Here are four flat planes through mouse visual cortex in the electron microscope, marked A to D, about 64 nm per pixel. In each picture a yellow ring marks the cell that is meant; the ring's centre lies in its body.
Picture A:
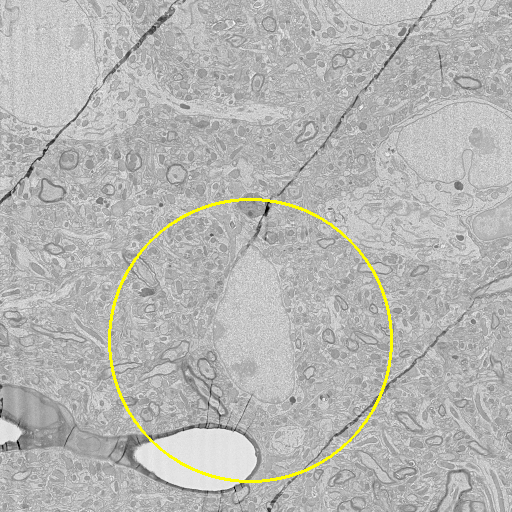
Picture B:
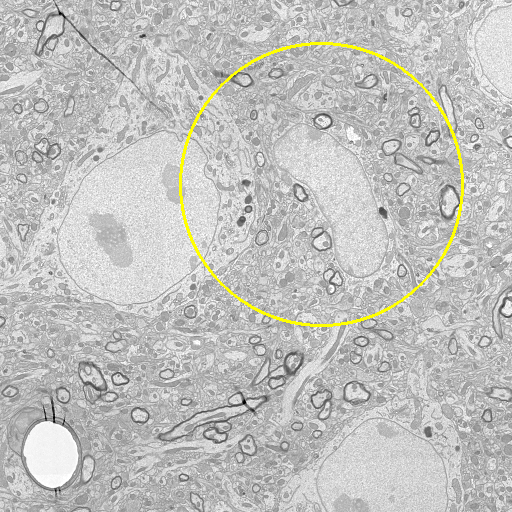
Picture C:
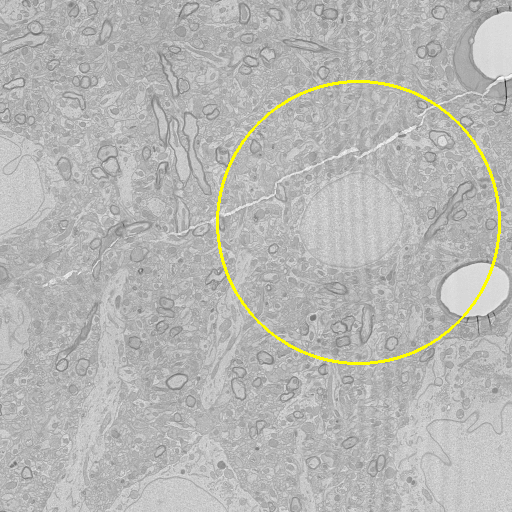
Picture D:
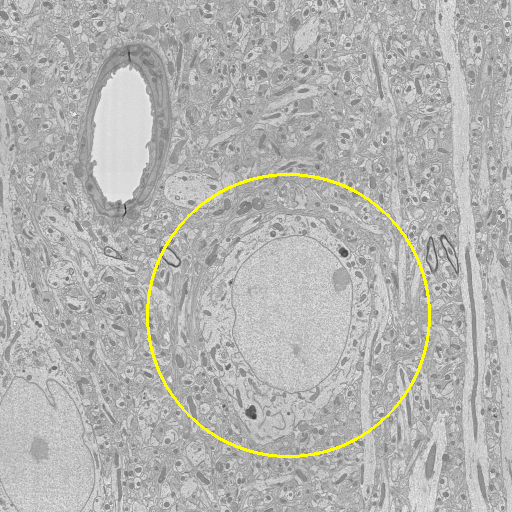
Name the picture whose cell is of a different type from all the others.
Unlike the rest, which show astrocytes, picture D shows an excitatory neuron.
